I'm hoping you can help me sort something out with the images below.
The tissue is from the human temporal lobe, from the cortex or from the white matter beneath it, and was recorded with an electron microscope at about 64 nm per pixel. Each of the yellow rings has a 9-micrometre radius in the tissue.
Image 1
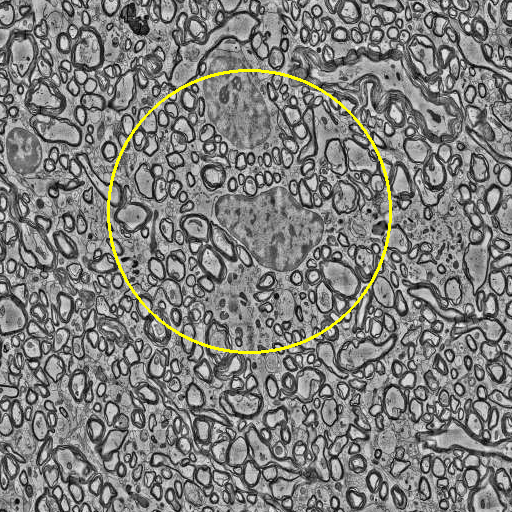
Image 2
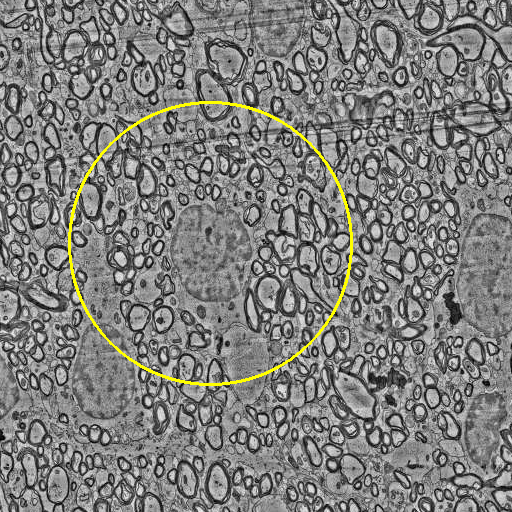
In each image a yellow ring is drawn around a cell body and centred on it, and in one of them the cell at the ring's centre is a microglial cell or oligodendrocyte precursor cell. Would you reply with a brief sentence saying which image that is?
In Image 1, the cell at the centre of the ring is the one you asked about.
